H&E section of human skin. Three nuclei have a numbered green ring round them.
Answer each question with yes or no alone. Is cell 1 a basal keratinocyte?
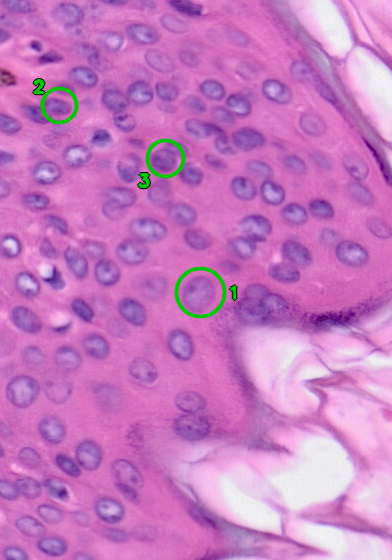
no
